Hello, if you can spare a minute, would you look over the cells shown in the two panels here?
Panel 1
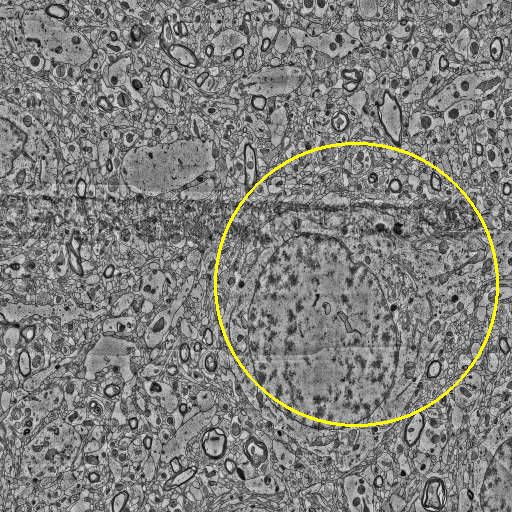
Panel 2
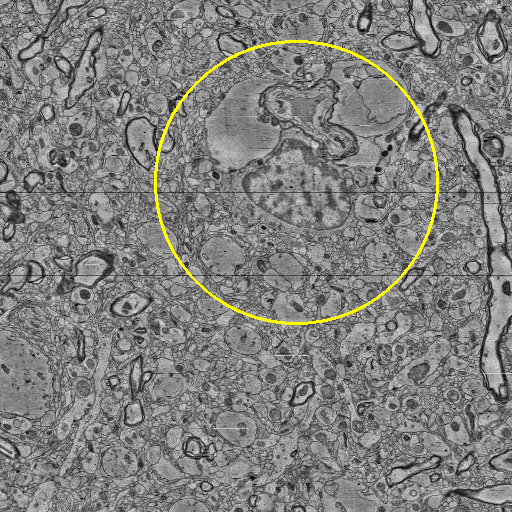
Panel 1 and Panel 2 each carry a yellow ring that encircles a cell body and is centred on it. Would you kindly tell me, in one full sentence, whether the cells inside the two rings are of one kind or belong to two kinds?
The cells at the centres of the rings in Panel 1 and Panel 2 belong to two kinds.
